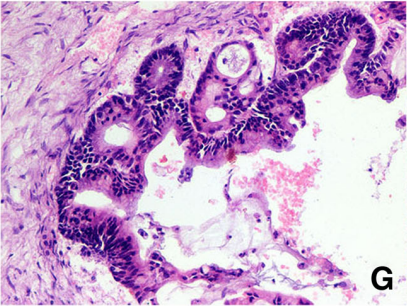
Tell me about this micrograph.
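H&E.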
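A gland with a folded, budding lining is seen against pale fibrous stroma. The lining cells have enlarged, dark purple, elongated nuclei that are crowded and sit at varying heights, giving a pseudostratified look. Small secondary lumens form within the epithelium, and the central lumen holds a few red cells.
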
